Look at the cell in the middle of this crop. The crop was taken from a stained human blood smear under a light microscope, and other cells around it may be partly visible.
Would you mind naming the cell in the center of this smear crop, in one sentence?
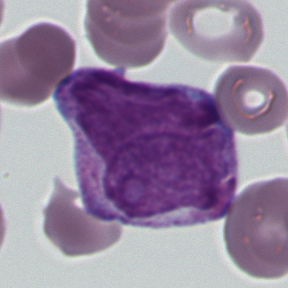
At the middle of the frame sits an atypical promyelocyte.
